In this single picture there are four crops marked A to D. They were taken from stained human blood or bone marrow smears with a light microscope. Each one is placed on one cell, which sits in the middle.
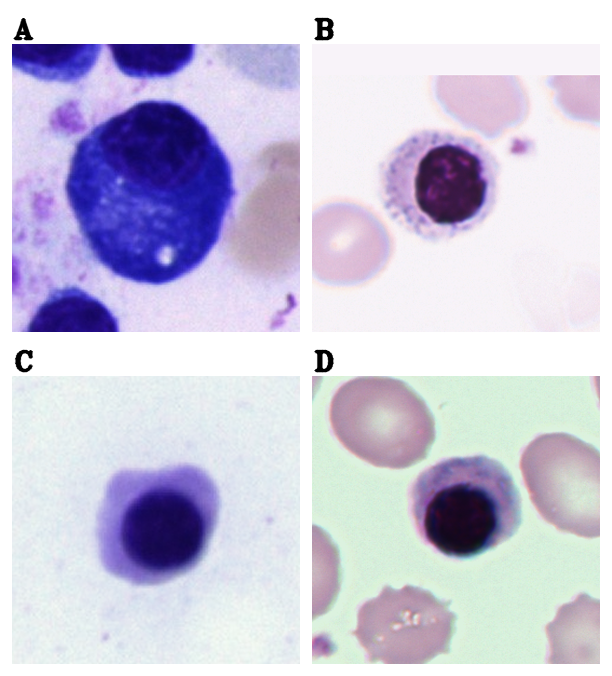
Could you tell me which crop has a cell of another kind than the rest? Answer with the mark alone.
A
